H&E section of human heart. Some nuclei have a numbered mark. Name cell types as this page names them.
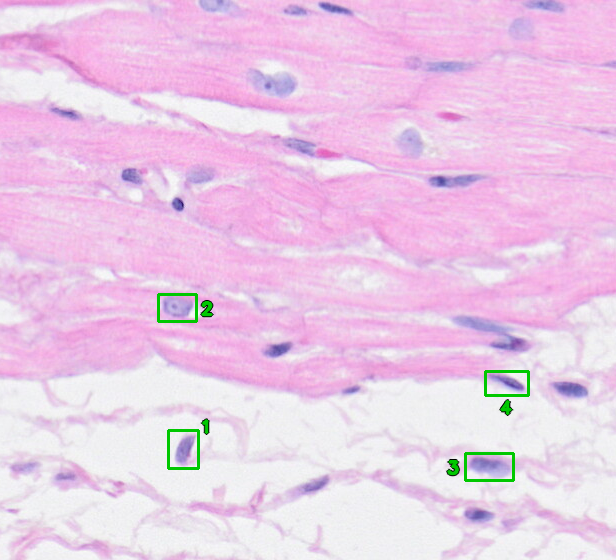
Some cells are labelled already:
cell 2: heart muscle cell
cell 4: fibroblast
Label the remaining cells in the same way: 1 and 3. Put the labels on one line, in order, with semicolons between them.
fibroblast; fibroblast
